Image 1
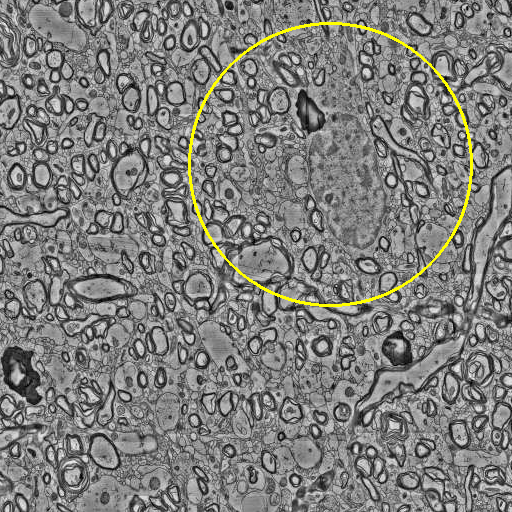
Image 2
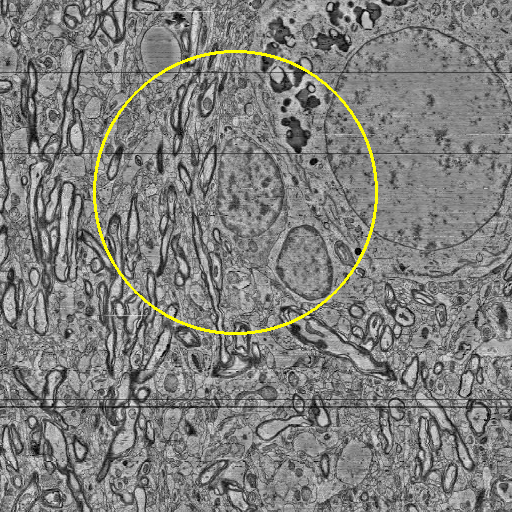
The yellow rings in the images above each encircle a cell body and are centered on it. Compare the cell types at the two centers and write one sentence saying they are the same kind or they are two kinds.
Taken together, the two cells at the ring centers are the same kind.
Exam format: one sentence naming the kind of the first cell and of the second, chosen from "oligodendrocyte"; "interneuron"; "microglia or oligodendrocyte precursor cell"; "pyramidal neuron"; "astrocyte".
Each one of the two ringed cells is an oligodendrocyte.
